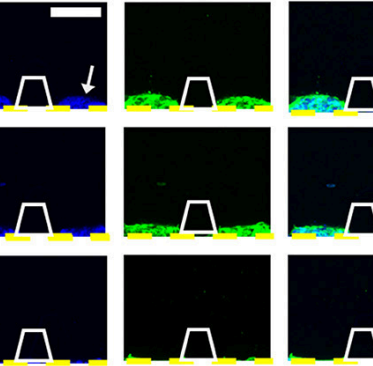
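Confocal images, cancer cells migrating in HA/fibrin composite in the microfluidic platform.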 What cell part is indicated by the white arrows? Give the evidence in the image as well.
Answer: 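Nuclei of migrated tumor cell. The blue spots sit at the edge of the cell layer along the bottom.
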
